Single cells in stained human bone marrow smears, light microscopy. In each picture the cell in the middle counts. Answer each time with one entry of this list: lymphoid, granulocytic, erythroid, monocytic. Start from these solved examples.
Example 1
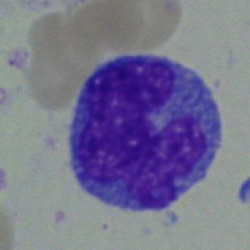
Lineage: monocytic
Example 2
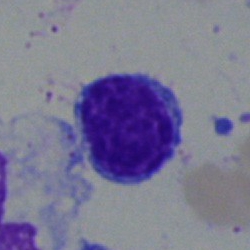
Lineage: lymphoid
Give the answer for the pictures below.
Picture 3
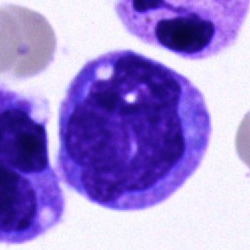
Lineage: monocytic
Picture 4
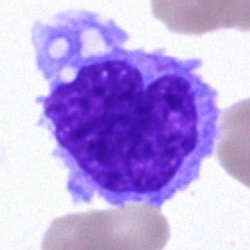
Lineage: monocytic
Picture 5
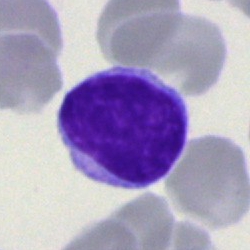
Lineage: lymphoid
